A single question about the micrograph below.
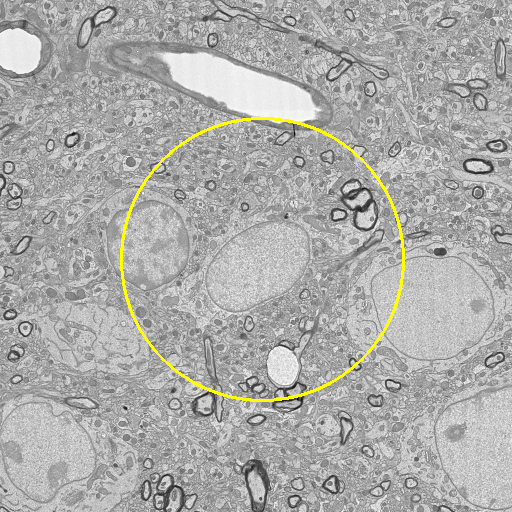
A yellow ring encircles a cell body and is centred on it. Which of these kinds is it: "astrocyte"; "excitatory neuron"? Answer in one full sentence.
The cell body at the centre of the yellow ring belongs to an astrocyte.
